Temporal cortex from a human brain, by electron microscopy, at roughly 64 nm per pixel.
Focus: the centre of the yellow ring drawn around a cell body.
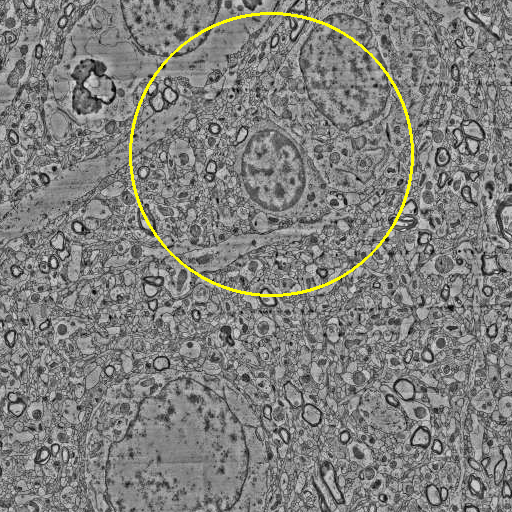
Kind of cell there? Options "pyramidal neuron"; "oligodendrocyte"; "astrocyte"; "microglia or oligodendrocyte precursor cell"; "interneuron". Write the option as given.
oligodendrocyte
